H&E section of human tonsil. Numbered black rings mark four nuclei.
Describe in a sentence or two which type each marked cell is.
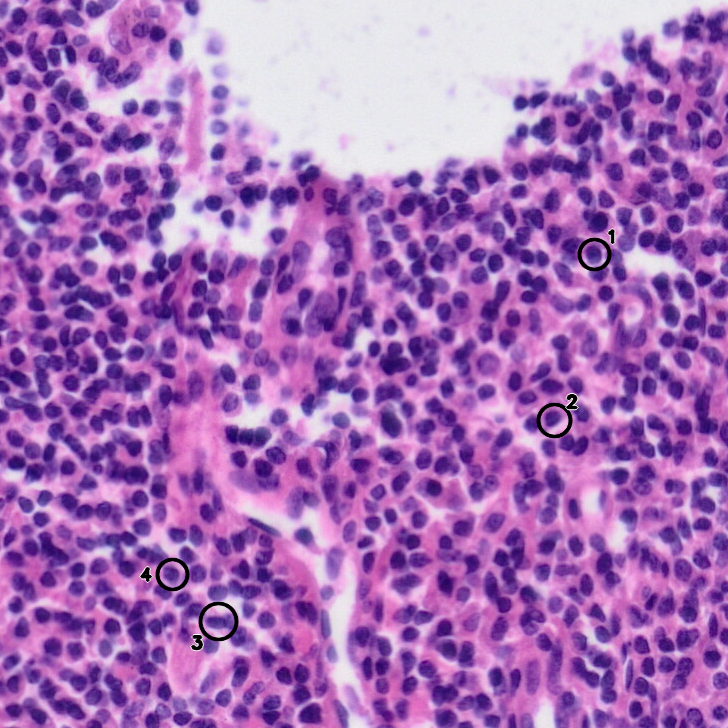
Cell 1 is a small lymphocyte, cell 2 is a plasma cell, cell 3 is a small lymphocyte and cell 4 is a small lymphocyte.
